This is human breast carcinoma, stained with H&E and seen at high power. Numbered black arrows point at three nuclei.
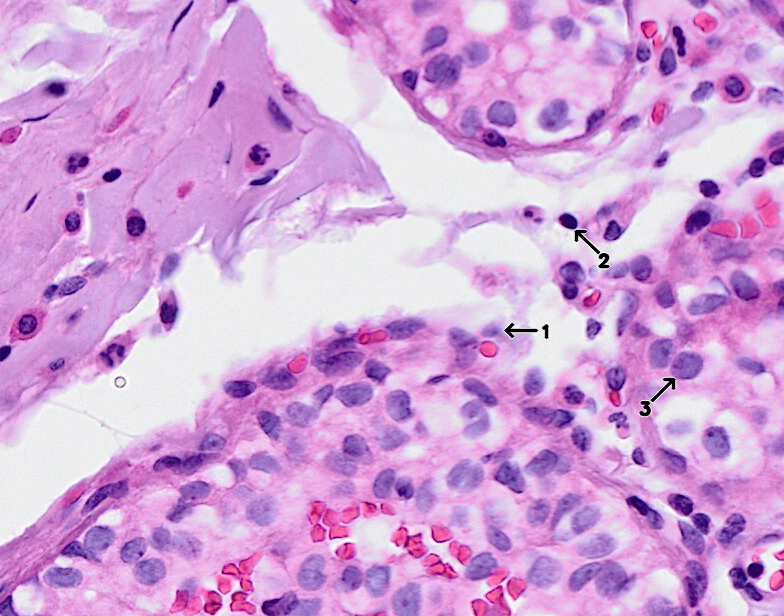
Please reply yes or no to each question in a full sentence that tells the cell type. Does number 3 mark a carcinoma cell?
Yes, the cell to which number 3 refers is a carcinoma cell.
